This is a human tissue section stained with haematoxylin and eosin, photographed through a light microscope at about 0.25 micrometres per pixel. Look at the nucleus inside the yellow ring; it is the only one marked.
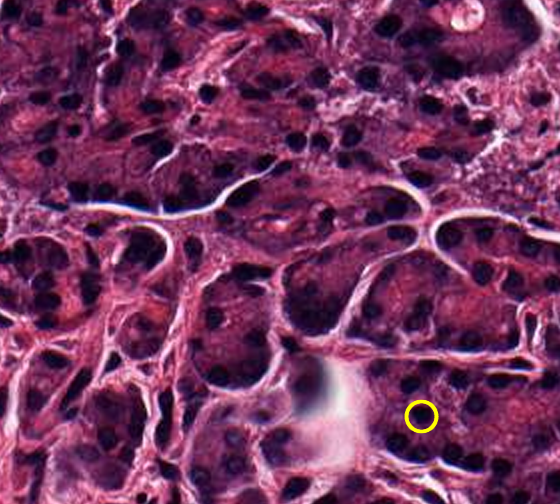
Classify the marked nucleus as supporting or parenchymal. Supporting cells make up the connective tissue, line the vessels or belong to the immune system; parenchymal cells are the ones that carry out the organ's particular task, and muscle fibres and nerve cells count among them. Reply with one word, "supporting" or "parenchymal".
parenchymal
